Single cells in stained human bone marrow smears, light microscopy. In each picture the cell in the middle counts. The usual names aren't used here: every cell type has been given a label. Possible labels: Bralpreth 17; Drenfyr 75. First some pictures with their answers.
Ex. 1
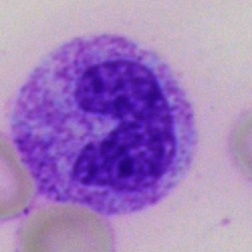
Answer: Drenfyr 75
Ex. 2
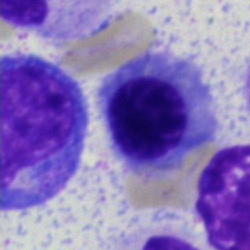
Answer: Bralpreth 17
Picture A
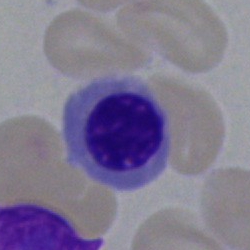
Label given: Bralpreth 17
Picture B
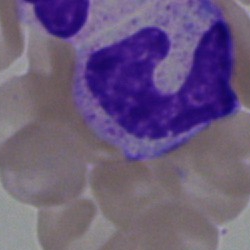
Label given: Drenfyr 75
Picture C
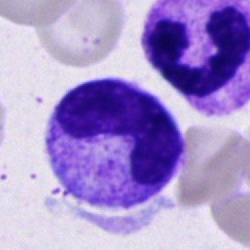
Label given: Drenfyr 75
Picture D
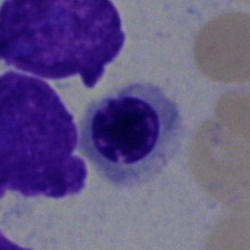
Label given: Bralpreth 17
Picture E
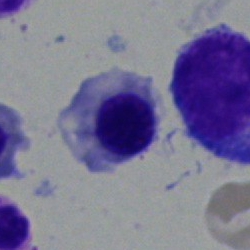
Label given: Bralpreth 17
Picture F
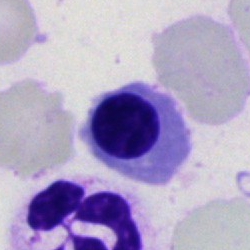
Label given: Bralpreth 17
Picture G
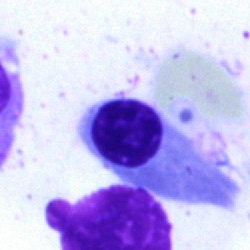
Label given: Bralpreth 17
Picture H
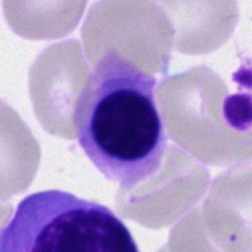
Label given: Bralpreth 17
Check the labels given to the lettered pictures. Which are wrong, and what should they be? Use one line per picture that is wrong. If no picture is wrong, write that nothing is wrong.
No label is wrong.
